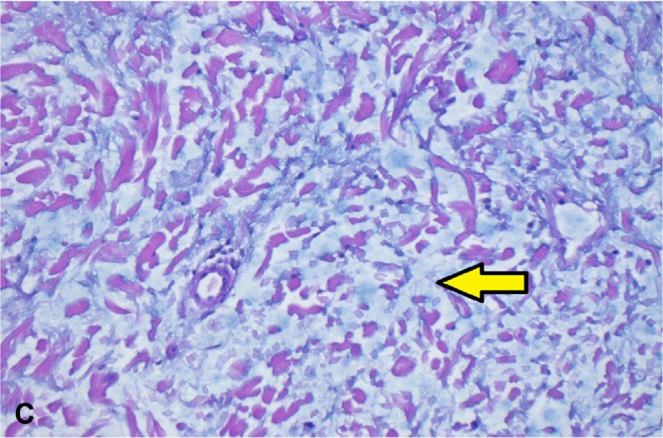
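Dermis at higher power with collagen bundles stained pink-purple, cut in varied orientations and separated by wide spaces. These spaces contain pale blue, finely stringy or wispy material that surrounds and separates the bundles, most visibly where the arrow points. Scattered small dark nuclei of dermal cells lie among the bundles. No inflammatory aggregates are evident; the main change is the blue interstitial material spreading the collagen apart.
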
